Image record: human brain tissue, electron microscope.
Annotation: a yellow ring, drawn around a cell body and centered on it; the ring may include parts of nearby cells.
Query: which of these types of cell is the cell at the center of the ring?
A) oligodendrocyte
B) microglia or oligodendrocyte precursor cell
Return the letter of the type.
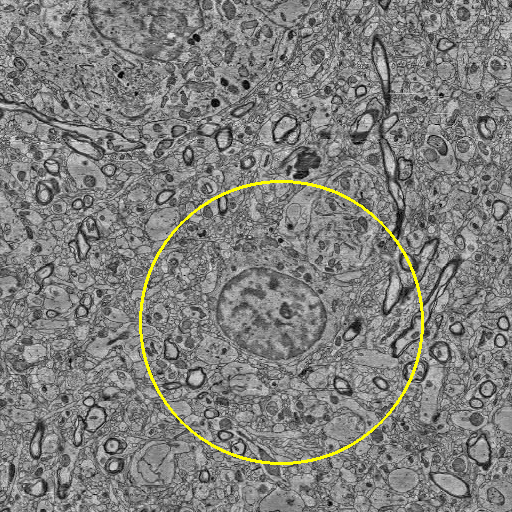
A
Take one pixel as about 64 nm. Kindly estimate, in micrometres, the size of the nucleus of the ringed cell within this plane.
Roughly 7 micrometres by 6 micrometres, in this plane.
